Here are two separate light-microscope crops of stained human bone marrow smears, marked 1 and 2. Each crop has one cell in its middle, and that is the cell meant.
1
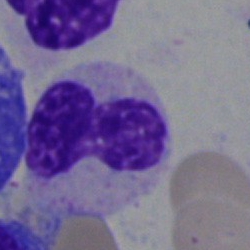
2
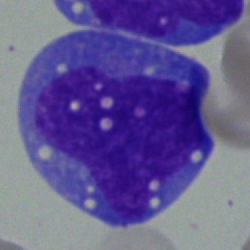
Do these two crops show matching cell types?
no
